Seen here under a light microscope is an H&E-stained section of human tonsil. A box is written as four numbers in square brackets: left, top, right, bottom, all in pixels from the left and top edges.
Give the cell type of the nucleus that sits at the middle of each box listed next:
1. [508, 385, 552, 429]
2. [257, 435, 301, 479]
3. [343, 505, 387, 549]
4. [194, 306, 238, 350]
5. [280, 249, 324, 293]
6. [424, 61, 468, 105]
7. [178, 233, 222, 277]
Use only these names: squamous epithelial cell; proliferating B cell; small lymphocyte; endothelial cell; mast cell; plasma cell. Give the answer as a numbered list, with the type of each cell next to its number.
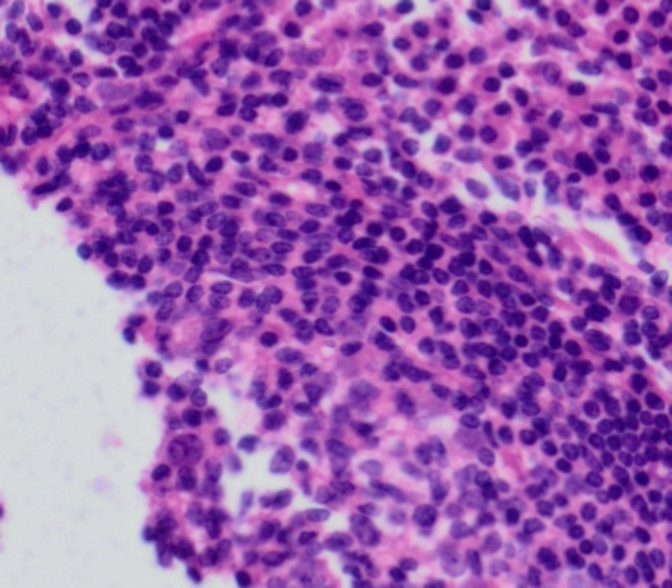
1. small lymphocyte
2. proliferating B cell
3. proliferating B cell
4. proliferating B cell
5. small lymphocyte
6. plasma cell
7. small lymphocyte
